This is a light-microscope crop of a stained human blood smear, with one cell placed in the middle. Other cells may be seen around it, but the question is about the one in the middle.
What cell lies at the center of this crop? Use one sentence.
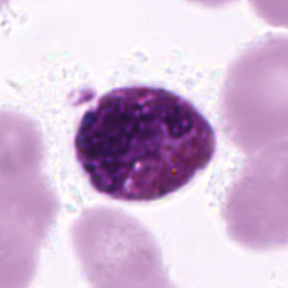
Seen at the centre of the crop is an eosinophil.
